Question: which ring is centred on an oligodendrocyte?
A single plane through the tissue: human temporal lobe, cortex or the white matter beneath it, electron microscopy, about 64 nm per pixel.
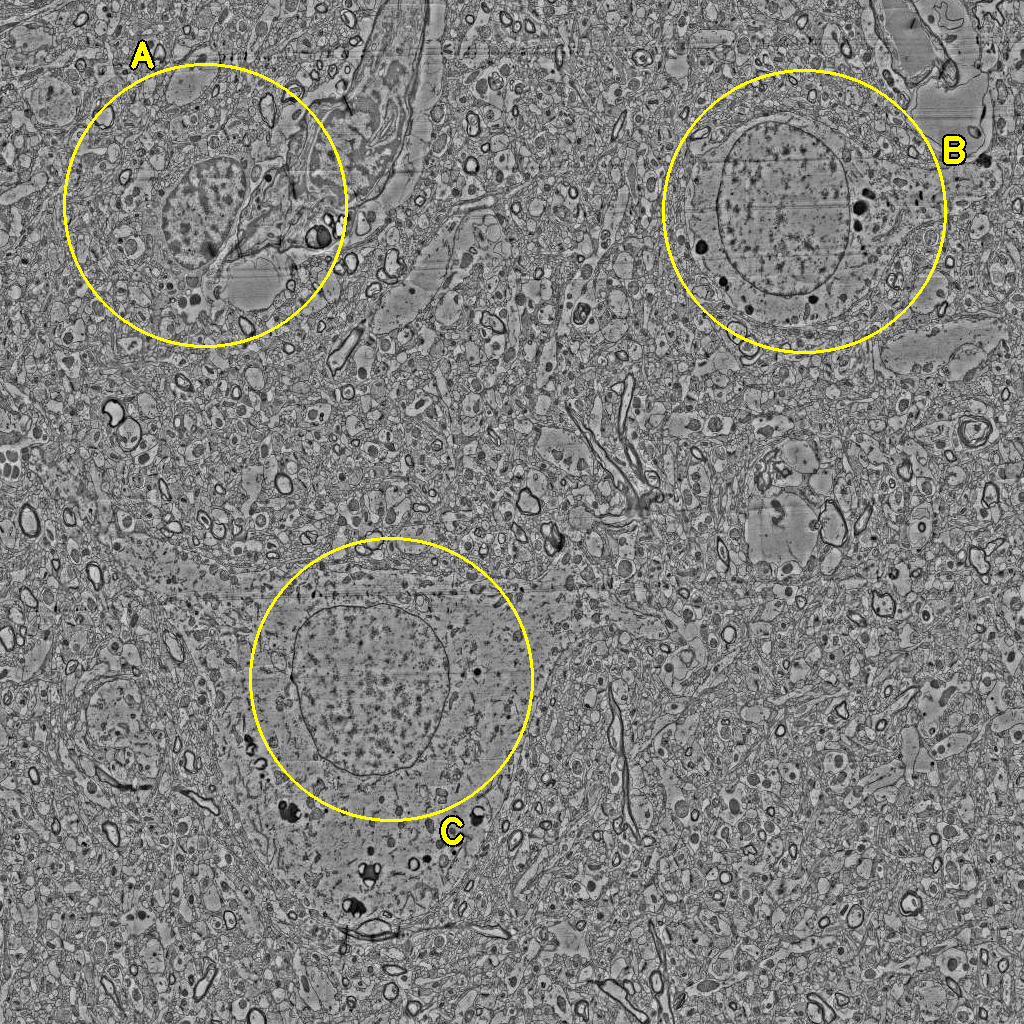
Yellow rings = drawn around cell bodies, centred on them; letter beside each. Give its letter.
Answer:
A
